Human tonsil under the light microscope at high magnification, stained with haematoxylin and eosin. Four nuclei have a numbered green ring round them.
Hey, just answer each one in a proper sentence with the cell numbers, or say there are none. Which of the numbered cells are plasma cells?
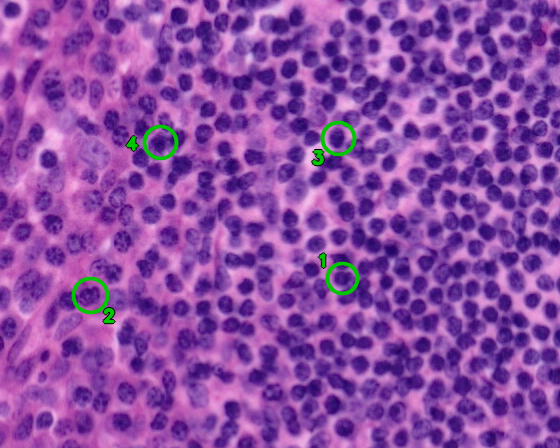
In contrast to the remaining marked cells, cell 2 is a plasma cell.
